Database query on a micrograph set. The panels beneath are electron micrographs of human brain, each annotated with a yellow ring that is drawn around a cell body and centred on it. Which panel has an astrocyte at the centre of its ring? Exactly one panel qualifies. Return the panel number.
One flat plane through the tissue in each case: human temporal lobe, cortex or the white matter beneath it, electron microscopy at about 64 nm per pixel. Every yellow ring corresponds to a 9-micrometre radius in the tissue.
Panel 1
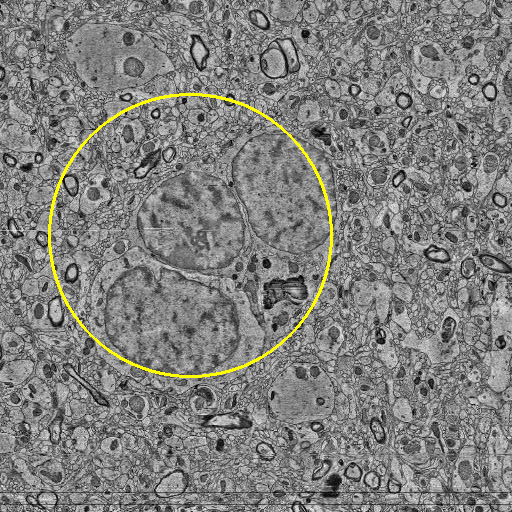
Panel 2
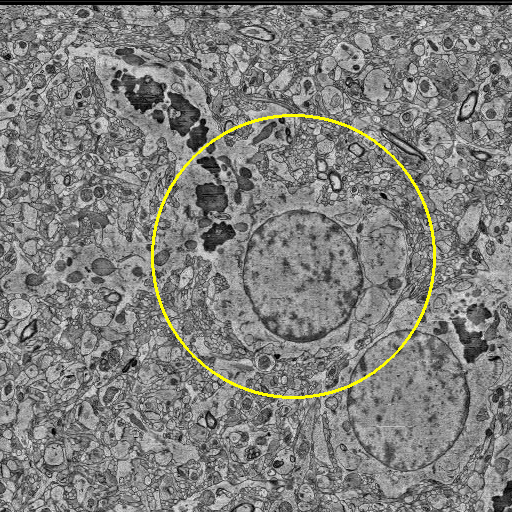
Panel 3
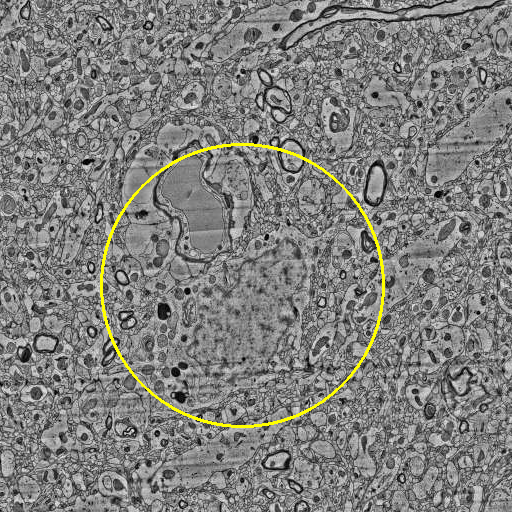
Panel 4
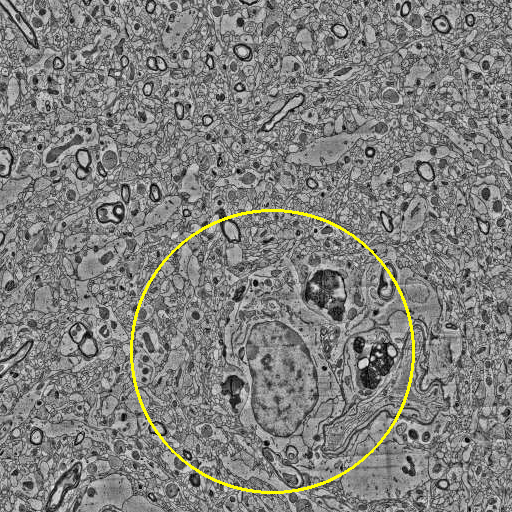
2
